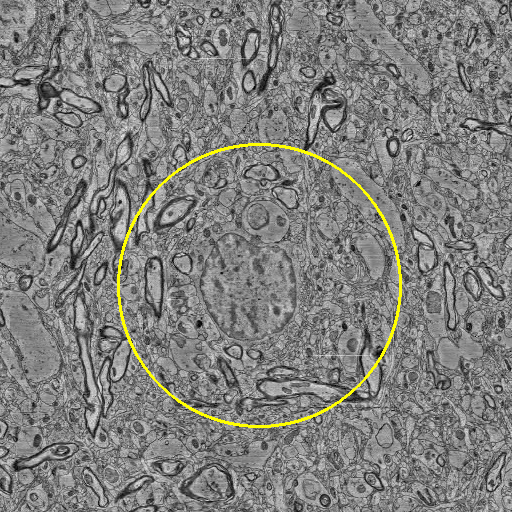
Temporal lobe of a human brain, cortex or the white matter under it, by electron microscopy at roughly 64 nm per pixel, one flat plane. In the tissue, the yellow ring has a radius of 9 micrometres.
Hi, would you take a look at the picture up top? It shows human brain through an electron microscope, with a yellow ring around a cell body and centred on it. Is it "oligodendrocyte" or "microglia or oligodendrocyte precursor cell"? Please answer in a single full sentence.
The best fit for the cell in the middle of the ring is an oligodendrocyte, I reckon.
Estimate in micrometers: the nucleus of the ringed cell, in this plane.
The nucleus of the ringed cell is approximately 7 by 6 micrometres in this plane.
